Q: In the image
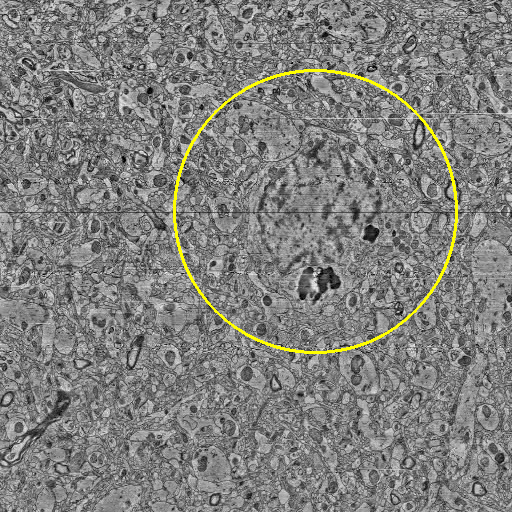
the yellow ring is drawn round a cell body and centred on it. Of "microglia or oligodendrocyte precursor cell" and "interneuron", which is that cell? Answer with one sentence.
The cell centred in the ring is an interneuron.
